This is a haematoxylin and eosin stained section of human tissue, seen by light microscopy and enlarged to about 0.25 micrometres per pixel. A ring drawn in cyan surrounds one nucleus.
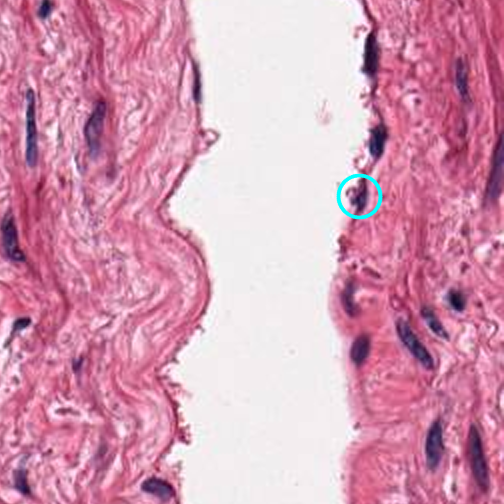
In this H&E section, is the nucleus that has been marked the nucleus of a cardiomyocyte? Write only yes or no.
no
